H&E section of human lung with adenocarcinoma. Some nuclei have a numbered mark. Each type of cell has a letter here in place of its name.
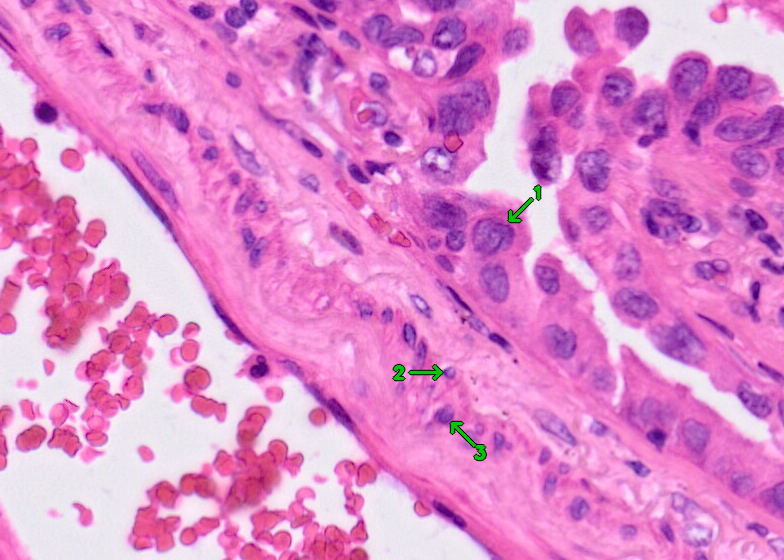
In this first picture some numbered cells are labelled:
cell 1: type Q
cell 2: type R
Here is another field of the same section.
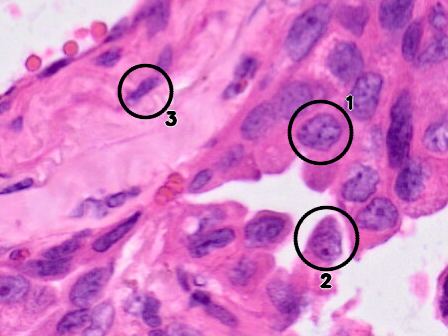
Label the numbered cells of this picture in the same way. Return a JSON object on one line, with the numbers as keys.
{"1": "type Q", "2": "type Q", "3": "type R"}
